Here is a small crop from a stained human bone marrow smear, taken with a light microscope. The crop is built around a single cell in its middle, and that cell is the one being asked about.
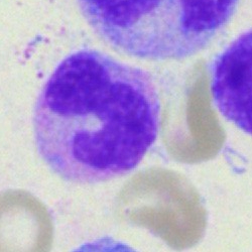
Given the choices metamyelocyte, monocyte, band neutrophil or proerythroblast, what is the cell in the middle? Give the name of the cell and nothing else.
band neutrophil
